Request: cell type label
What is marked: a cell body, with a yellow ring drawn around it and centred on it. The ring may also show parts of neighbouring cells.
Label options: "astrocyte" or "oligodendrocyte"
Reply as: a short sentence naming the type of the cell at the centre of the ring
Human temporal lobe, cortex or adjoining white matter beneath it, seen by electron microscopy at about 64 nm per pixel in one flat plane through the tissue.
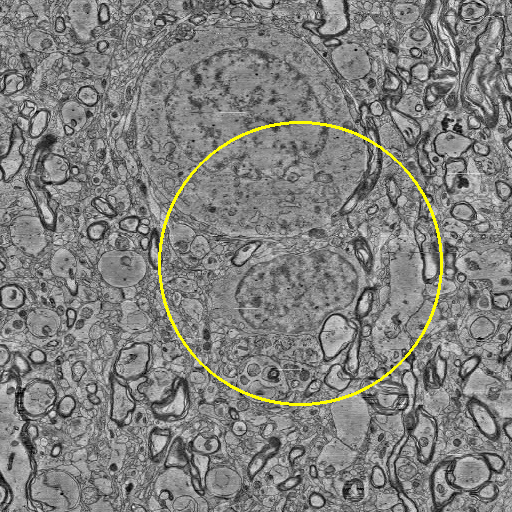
The marked cell body is that of an oligodendrocyte.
